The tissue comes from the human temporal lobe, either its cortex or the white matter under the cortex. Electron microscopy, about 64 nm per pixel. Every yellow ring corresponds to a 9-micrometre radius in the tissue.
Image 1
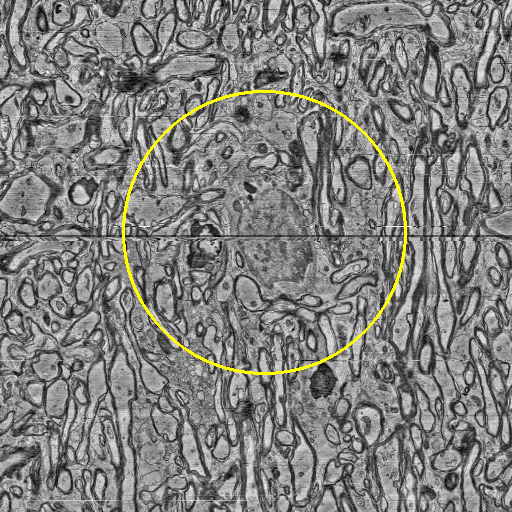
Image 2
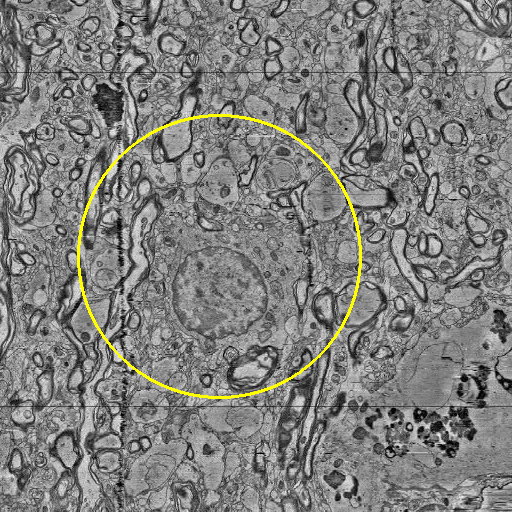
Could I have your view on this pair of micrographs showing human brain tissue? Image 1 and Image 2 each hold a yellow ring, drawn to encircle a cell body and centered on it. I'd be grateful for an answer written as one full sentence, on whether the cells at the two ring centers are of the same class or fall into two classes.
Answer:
The cells at the centers of the two rings are of the same class.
